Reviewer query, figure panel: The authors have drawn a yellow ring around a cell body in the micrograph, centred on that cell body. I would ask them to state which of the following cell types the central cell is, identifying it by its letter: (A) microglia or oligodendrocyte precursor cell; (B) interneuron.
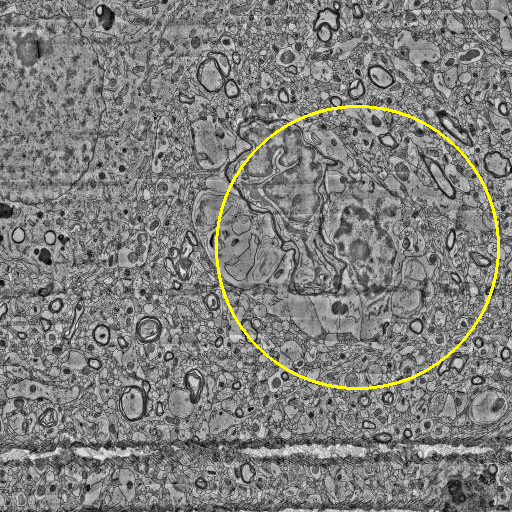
A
